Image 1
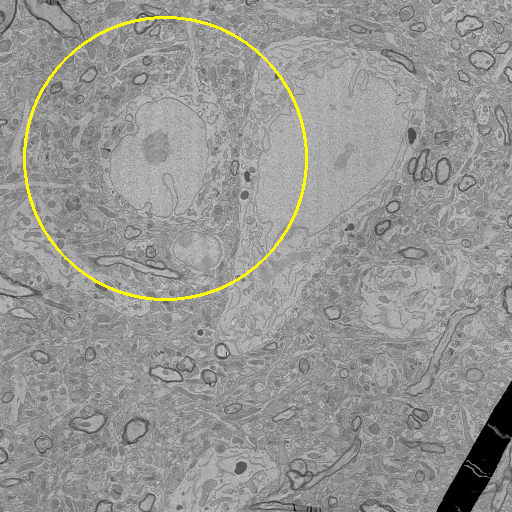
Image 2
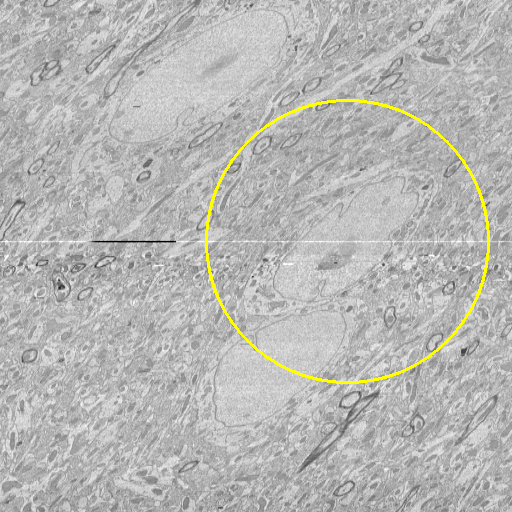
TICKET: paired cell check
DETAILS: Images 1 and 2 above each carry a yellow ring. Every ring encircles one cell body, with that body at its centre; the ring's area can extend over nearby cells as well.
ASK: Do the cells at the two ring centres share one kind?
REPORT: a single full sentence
Yes, the ring-centre cells of Images 1 and 2 belong to a single kind.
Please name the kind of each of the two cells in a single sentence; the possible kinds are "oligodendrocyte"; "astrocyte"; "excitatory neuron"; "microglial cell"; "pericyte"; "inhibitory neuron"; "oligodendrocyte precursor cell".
Each of the two pictures has an inhibitory neuron at the ring centre.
